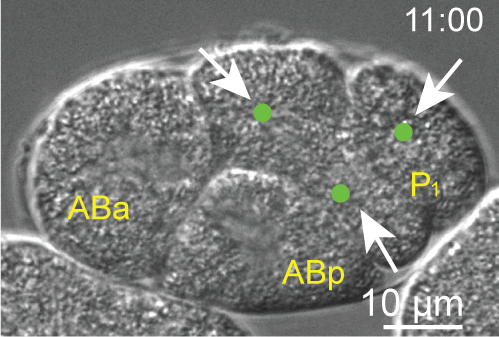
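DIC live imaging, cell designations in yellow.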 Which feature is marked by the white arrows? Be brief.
The poles of a tripolar spindle.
